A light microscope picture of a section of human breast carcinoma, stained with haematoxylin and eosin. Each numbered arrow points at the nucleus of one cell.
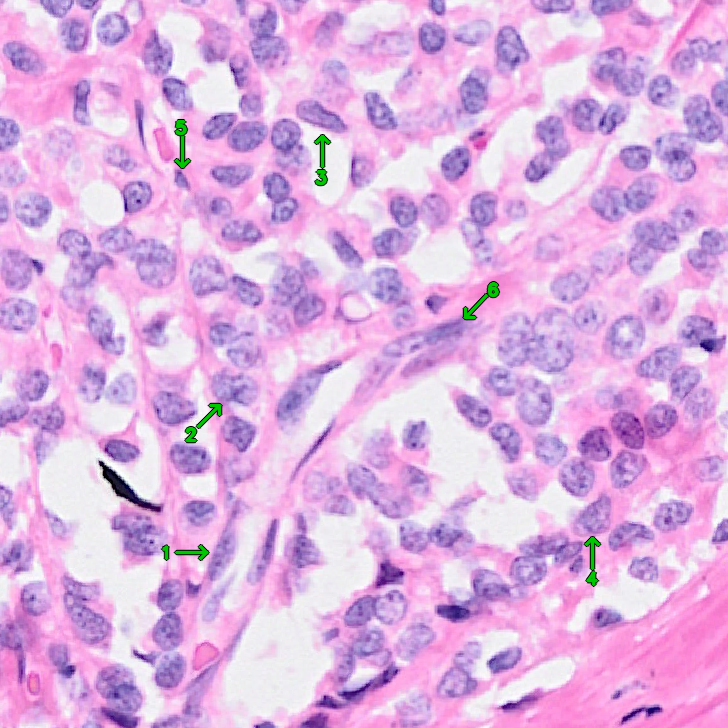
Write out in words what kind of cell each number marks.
Cell 1 is an endothelial cell, cell 2 is a carcinoma cell, cell 3 is a carcinoma cell, cell 4 is a carcinoma cell, cell 5 is an endothelial cell and cell 6 is an endothelial cell.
